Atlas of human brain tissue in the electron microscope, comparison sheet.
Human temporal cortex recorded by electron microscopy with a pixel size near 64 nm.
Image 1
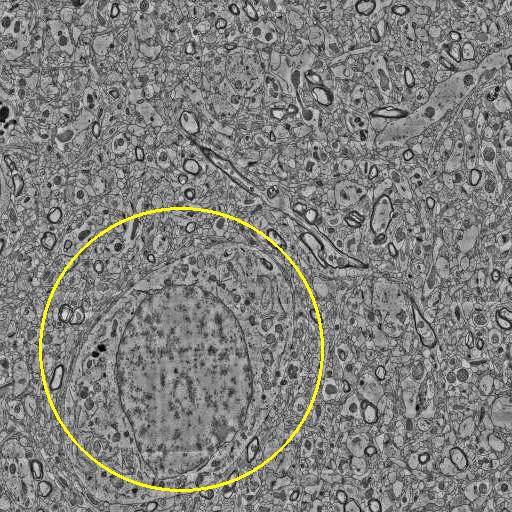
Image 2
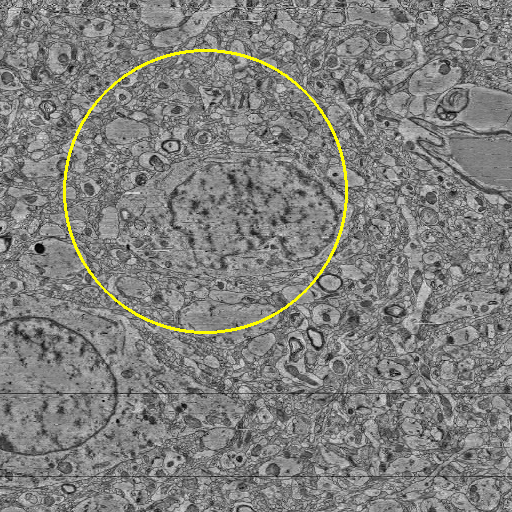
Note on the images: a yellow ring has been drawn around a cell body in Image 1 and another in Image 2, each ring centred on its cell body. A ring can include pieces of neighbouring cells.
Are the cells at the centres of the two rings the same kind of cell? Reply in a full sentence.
Yes, both cells are of the same kind.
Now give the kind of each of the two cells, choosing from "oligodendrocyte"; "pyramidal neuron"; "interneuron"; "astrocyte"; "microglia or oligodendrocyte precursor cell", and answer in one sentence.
Each cell, in the first picture and the second, is an interneuron.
